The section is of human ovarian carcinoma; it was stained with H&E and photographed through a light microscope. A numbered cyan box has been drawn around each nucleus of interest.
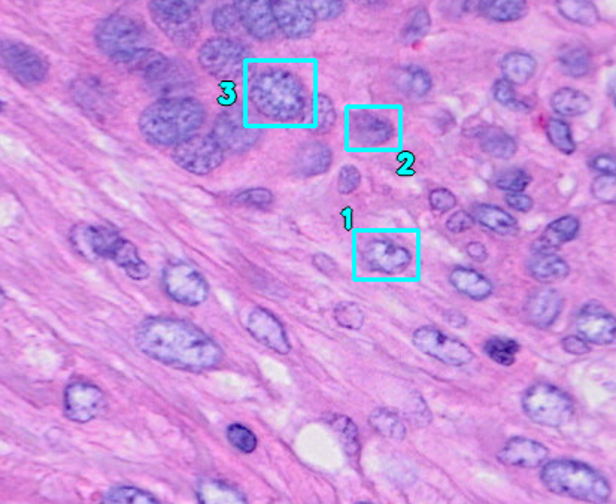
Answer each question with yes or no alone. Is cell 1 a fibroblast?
yes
